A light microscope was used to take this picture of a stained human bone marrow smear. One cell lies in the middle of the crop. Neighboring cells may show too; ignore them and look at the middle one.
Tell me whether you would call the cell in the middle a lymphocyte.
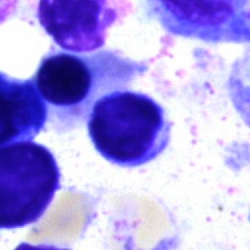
yes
